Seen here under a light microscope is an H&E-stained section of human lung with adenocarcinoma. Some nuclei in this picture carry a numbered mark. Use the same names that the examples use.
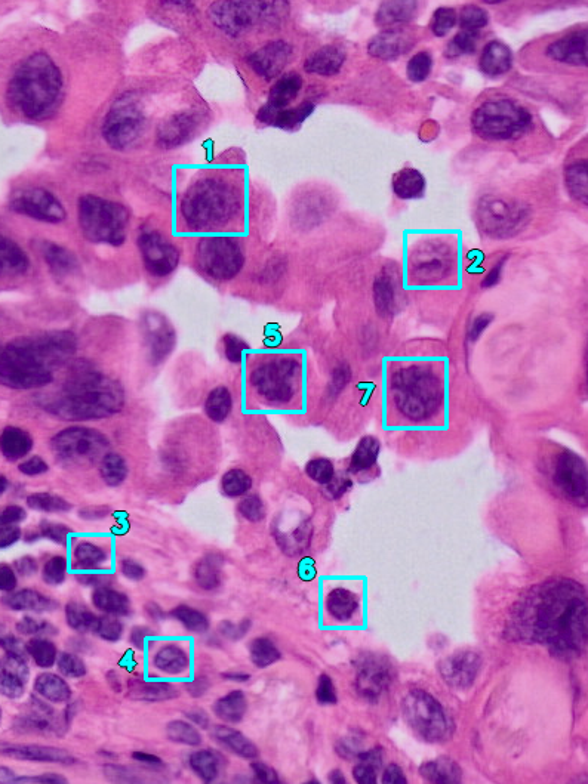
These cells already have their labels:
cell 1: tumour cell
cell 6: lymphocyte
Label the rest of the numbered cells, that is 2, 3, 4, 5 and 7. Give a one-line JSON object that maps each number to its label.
{"2": "tumour cell", "3": "lymphocyte", "4": "lymphocyte", "5": "tumour cell", "7": "tumour cell"}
